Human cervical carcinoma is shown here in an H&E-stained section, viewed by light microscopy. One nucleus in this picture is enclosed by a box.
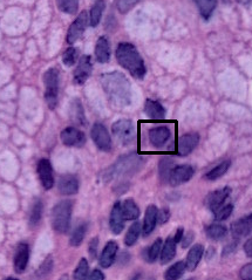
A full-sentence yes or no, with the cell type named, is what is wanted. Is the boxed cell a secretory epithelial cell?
Yes, the naming of the boxed cell as a secretory epithelial cell is correct.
